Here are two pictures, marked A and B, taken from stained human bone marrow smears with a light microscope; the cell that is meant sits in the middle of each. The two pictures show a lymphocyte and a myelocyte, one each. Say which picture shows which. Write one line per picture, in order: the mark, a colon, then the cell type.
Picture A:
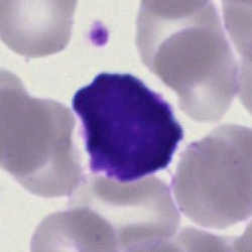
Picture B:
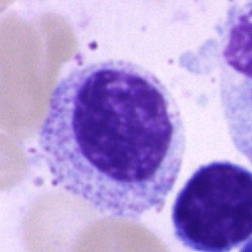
A: lymphocyte
B: myelocyte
